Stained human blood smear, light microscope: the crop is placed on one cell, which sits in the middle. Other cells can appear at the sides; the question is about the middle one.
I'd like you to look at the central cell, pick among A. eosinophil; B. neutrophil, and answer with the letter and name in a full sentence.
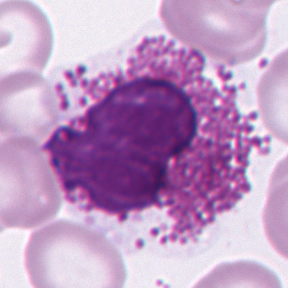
The correct option, A, names the middle cell as an eosinophil.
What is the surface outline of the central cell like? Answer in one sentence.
The cell shows an uneven border, formed by ragged areas or by outward projections.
